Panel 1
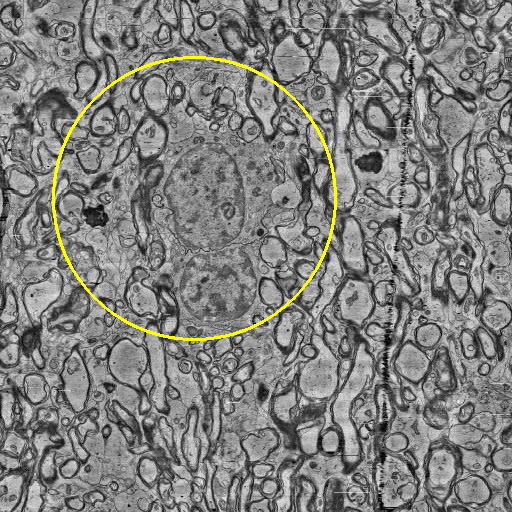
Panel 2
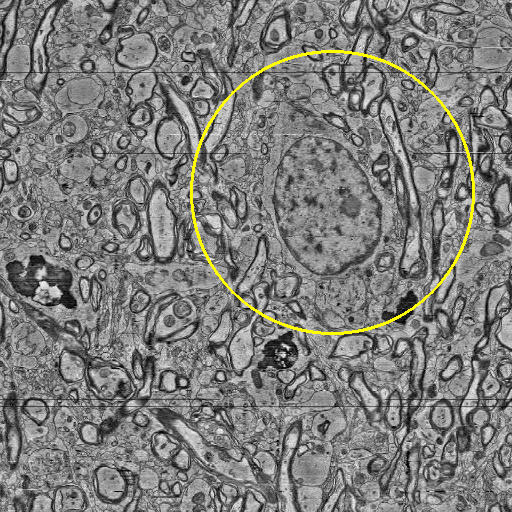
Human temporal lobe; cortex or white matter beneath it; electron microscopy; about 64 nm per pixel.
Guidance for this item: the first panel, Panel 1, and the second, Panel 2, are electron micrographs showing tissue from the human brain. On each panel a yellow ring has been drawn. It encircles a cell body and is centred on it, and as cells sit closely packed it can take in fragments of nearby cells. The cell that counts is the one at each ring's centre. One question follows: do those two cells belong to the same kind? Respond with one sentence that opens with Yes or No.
No, the cells at the ring centres in Panel 1 and Panel 2 are of two kinds.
